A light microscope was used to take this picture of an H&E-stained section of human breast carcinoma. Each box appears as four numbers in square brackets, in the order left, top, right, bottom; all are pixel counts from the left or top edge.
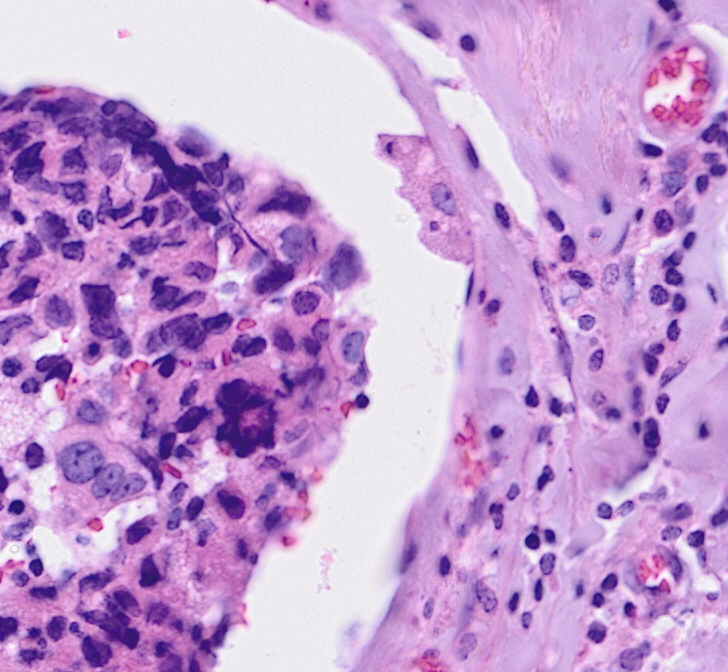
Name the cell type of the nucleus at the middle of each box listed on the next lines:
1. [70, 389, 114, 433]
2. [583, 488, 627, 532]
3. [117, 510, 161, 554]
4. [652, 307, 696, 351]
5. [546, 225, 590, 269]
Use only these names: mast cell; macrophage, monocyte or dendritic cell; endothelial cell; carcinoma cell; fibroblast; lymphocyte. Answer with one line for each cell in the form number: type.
1: carcinoma cell
2: lymphocyte
3: carcinoma cell
4: lymphocyte
5: lymphocyte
